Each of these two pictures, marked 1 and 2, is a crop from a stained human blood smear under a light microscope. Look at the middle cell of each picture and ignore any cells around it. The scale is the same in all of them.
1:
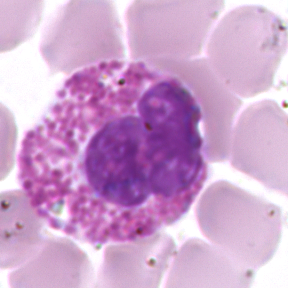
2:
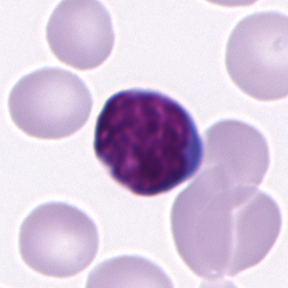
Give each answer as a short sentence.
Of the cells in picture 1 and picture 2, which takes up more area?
The cell in picture 1 is larger, with about 2.5 times the area of the one in picture 2.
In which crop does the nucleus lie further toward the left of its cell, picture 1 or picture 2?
The nucleus in picture 2 lies further toward the left of its cell.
